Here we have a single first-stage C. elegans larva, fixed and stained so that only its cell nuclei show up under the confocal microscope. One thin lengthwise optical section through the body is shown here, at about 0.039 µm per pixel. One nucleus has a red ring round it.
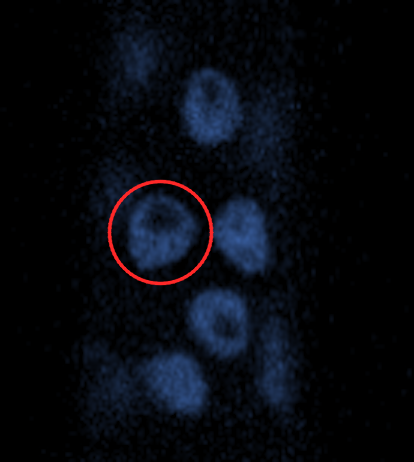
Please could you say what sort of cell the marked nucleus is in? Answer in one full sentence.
The nucleus comes from a hypodermal cell (hyp).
